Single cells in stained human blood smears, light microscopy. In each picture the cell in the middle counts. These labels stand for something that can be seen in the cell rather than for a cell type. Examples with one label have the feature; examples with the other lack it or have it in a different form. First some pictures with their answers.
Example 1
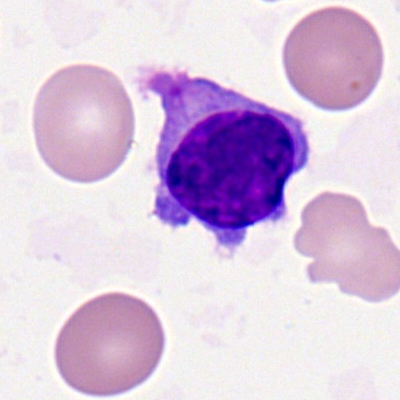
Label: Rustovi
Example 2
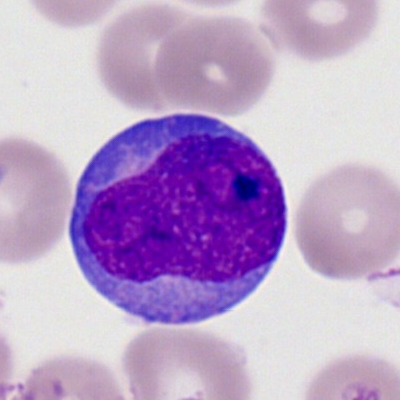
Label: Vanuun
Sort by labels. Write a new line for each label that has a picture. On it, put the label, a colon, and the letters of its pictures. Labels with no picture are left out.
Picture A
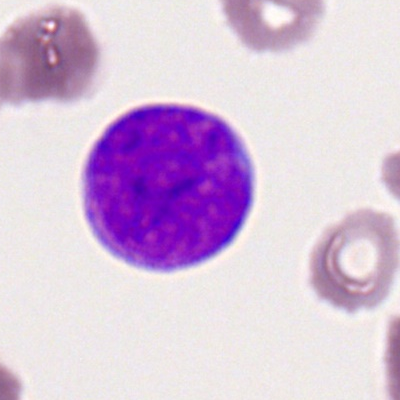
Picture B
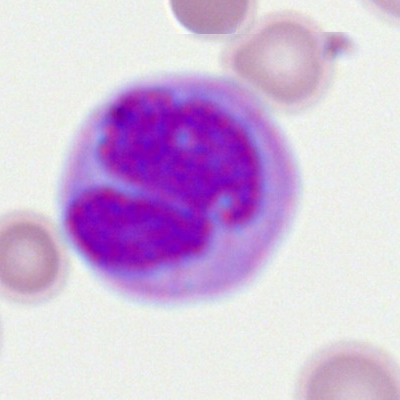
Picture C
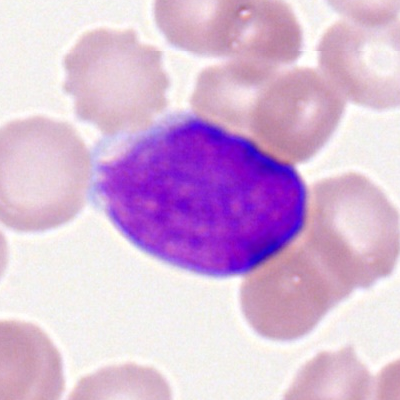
Rustovi: C
Vanuun: A, B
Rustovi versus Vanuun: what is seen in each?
In Rustovi: ragged outline or projections. In Vanuun: smooth outline.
